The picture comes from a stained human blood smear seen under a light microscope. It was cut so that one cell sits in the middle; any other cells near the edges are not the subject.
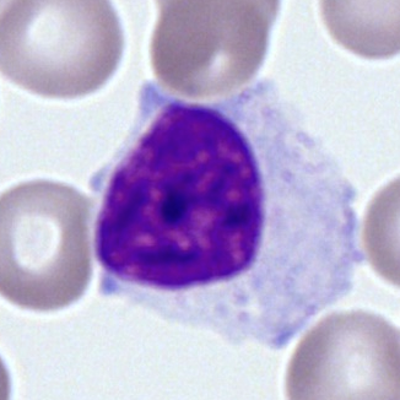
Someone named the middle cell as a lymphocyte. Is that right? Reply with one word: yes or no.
yes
